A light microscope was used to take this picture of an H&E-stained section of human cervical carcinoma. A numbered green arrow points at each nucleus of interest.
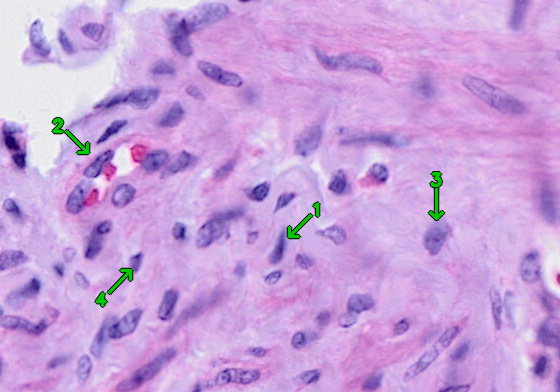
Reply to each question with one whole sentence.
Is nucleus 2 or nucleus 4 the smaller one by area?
Nucleus 4 is the smaller one; nucleus 2 covers about 3 times its area.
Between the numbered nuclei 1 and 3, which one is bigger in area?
It is nucleus 3, which covers about 2 times the area of nucleus 1.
